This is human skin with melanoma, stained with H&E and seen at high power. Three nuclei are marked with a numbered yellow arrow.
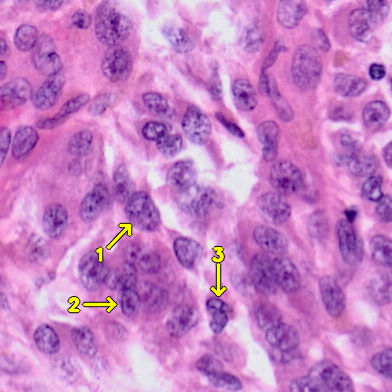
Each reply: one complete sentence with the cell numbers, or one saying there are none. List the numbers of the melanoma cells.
Regarding the numbered cells 1 and 2, these are melanoma cells.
